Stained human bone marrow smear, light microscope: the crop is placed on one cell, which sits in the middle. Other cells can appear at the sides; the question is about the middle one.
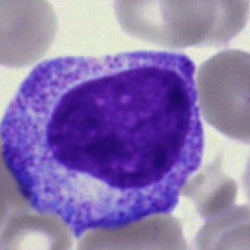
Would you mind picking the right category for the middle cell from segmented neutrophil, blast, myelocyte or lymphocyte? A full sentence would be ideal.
Whatever else lies nearby, the middle cell is a myelocyte.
